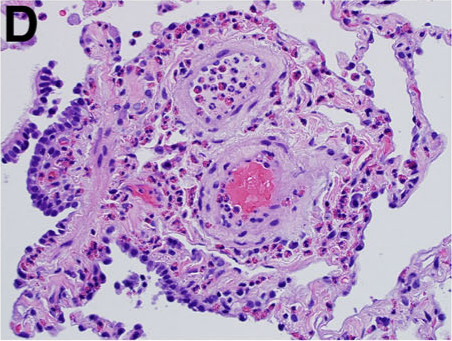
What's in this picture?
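Lung tissue with thin alveolar walls at the edges of the field surrounding a central cluster of small vessels heavily infiltrated by eosinophils. Two round vessel profiles sit in the centre: each has a wall of concentrically arranged cells around a lumen, the lower one holding pink material with red blood cells. Alveolar walls at the periphery are thin and lined by flattened cells, with scattered inflammatory cells within them.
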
